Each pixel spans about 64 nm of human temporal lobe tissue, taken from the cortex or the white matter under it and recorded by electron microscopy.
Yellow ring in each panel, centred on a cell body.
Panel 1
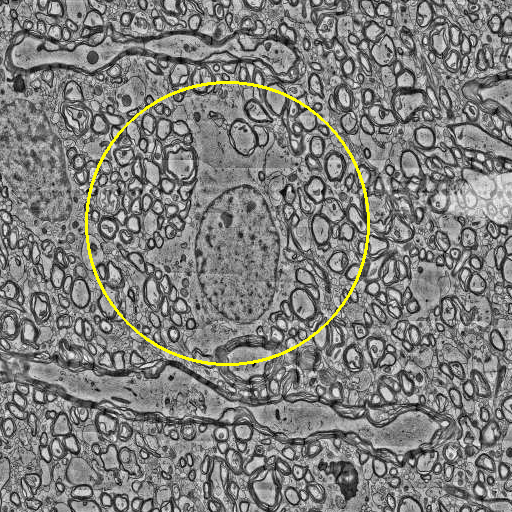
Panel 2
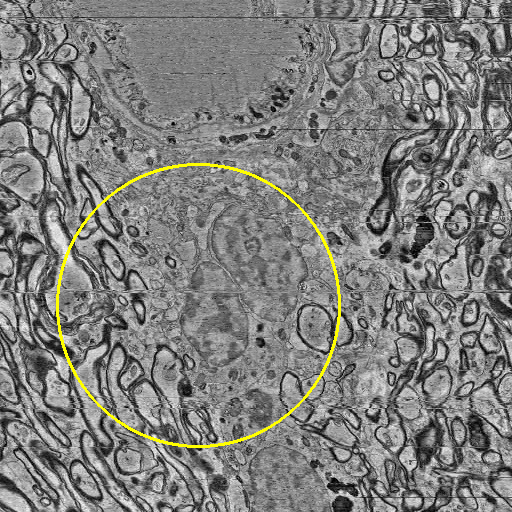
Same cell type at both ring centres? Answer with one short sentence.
No, the two cells are of two types.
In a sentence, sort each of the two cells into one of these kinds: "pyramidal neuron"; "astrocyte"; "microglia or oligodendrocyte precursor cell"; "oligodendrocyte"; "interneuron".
The first of the two cells is an astrocyte, and the second is an oligodendrocyte.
